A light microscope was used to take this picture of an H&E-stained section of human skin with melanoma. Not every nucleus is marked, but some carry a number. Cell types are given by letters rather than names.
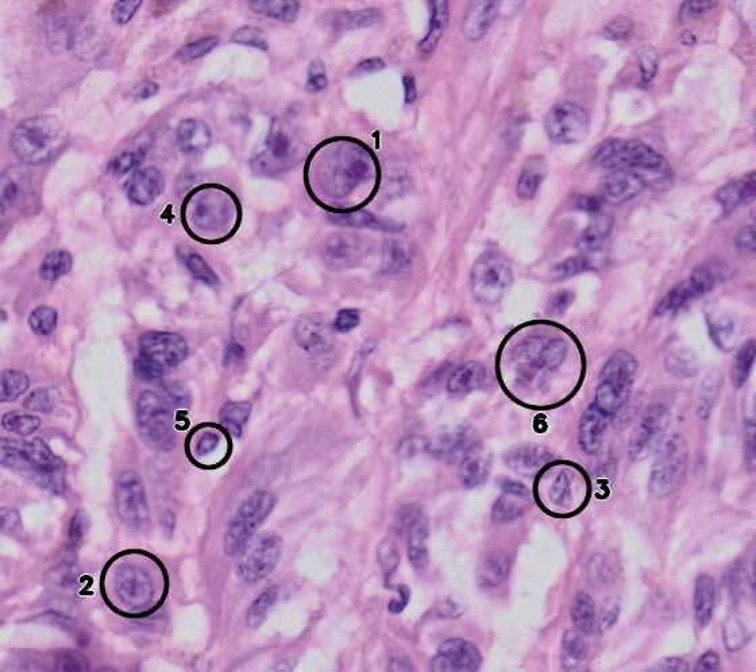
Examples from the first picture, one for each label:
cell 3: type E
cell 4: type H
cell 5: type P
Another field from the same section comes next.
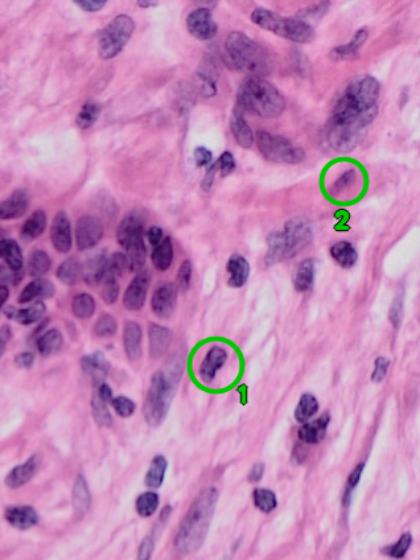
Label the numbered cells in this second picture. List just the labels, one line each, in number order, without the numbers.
type P
type E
